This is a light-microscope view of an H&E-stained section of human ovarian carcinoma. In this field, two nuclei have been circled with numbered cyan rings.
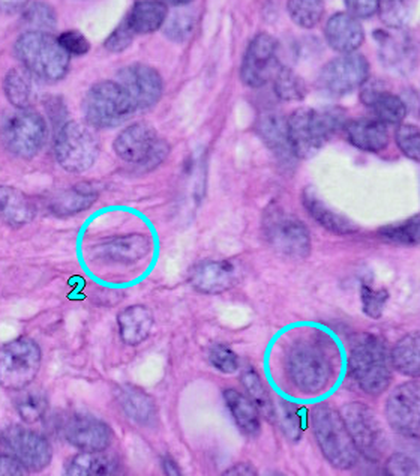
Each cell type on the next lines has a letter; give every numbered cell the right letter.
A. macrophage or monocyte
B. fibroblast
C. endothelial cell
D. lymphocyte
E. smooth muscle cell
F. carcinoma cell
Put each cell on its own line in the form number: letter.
1: F
2: B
